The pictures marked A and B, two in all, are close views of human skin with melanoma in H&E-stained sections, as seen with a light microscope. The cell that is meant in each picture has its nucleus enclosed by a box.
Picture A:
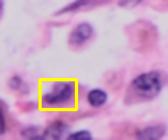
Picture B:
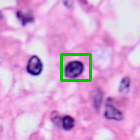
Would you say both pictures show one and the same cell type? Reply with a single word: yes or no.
no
